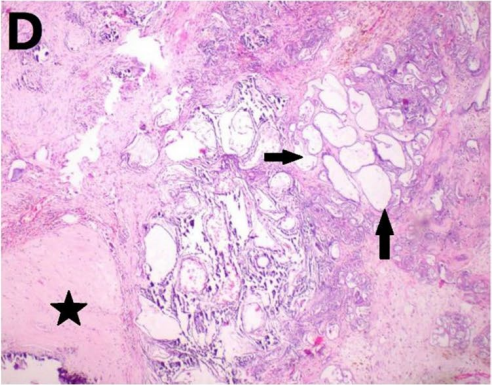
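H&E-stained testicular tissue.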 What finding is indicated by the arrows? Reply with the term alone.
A: Cystic dilation of seminiferous tubules.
